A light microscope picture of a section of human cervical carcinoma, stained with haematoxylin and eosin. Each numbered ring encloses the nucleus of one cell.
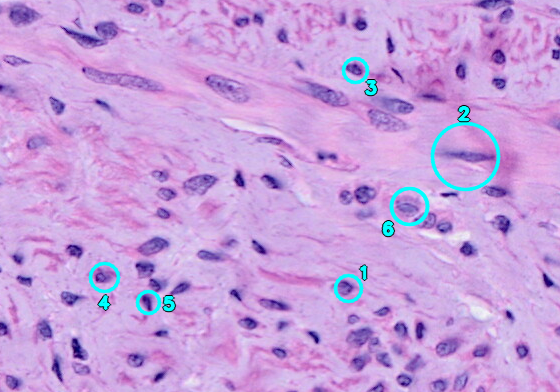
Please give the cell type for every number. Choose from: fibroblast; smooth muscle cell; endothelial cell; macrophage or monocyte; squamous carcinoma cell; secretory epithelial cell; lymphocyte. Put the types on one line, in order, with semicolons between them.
smooth muscle cell; fibroblast; smooth muscle cell; smooth muscle cell; smooth muscle cell; endothelial cell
